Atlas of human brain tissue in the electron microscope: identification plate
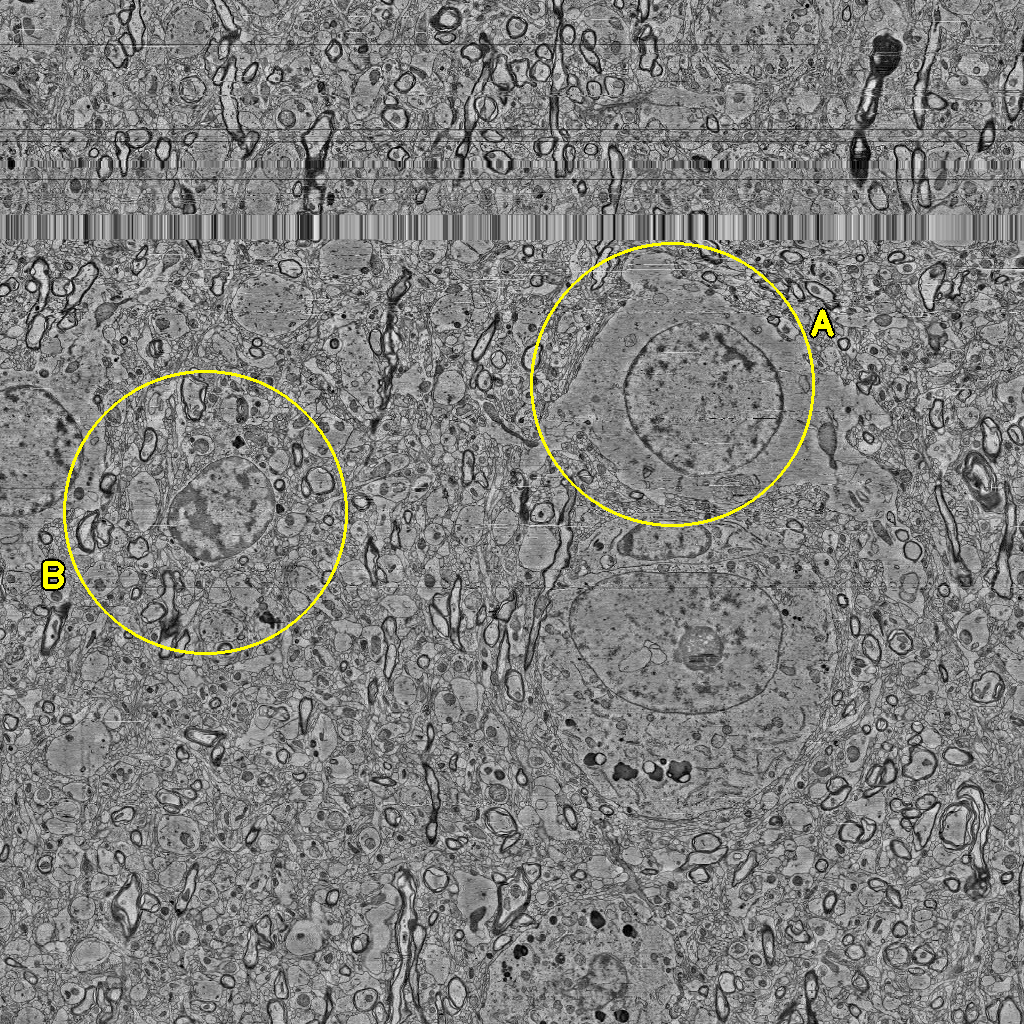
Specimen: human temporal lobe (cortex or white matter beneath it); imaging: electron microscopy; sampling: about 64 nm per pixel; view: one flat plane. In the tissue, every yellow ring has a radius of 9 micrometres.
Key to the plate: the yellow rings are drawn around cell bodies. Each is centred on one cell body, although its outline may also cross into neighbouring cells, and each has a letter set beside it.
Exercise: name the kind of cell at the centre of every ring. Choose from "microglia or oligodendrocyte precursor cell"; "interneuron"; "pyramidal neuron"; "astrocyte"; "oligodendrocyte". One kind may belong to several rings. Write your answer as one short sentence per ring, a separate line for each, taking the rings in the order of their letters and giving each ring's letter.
The centre of ring A is occupied by an astrocyte.
The centre of ring B is occupied by a microglial cell or oligodendrocyte precursor cell.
